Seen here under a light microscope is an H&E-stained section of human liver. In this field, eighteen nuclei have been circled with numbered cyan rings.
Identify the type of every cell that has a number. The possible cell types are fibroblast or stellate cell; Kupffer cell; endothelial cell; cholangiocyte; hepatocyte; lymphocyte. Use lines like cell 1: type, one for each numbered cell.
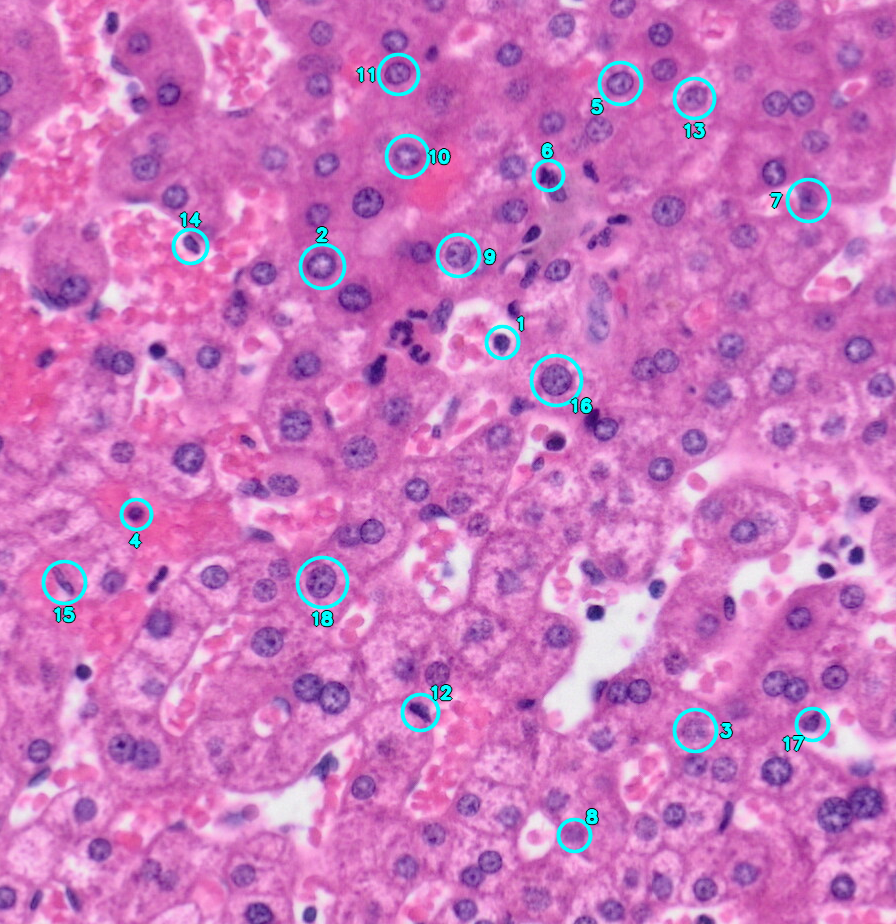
cell 1: lymphocyte
cell 2: hepatocyte
cell 3: hepatocyte
cell 4: lymphocyte
cell 5: hepatocyte
cell 6: fibroblast or stellate cell
cell 7: endothelial cell
cell 8: hepatocyte
cell 9: hepatocyte
cell 10: hepatocyte
cell 11: hepatocyte
cell 12: fibroblast or stellate cell
cell 13: hepatocyte
cell 14: lymphocyte
cell 15: endothelial cell
cell 16: hepatocyte
cell 17: Kupffer cell
cell 18: hepatocyte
